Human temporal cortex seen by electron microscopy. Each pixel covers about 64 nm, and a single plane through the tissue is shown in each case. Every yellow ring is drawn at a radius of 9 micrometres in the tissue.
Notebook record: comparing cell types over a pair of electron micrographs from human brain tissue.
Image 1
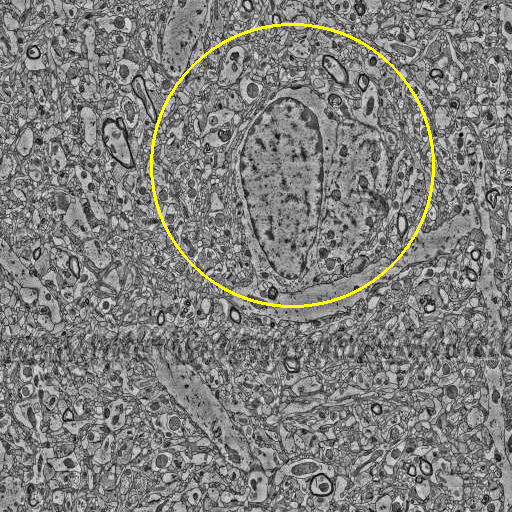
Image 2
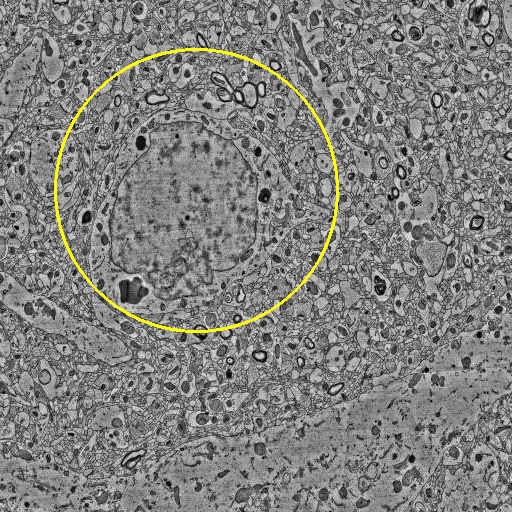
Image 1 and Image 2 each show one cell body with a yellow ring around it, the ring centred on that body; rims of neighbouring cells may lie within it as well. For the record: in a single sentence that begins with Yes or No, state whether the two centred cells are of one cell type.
No, two cell types are found among the centred cells of Image 1 and Image 2.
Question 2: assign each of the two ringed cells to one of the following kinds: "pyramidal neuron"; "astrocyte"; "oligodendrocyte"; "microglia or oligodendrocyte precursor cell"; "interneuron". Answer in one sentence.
The two cells are a microglial cell or oligodendrocyte precursor cell in the first picture and an interneuron in the second.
